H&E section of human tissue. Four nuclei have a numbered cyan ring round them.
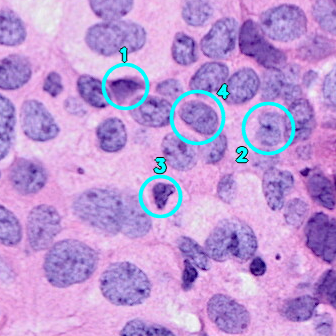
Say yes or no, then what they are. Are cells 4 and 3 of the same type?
No, cell 4 is a carcinoma cell and cell 3 is a lymphocyte.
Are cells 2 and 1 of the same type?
Yes, both are carcinoma cells.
